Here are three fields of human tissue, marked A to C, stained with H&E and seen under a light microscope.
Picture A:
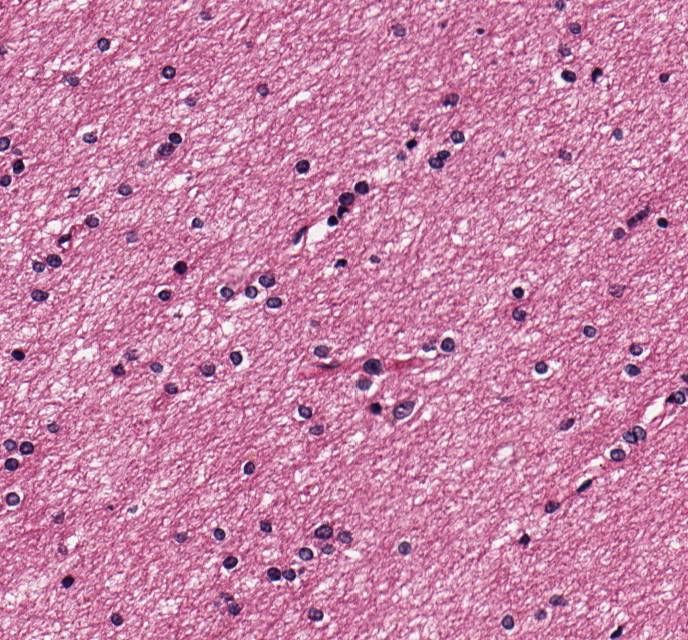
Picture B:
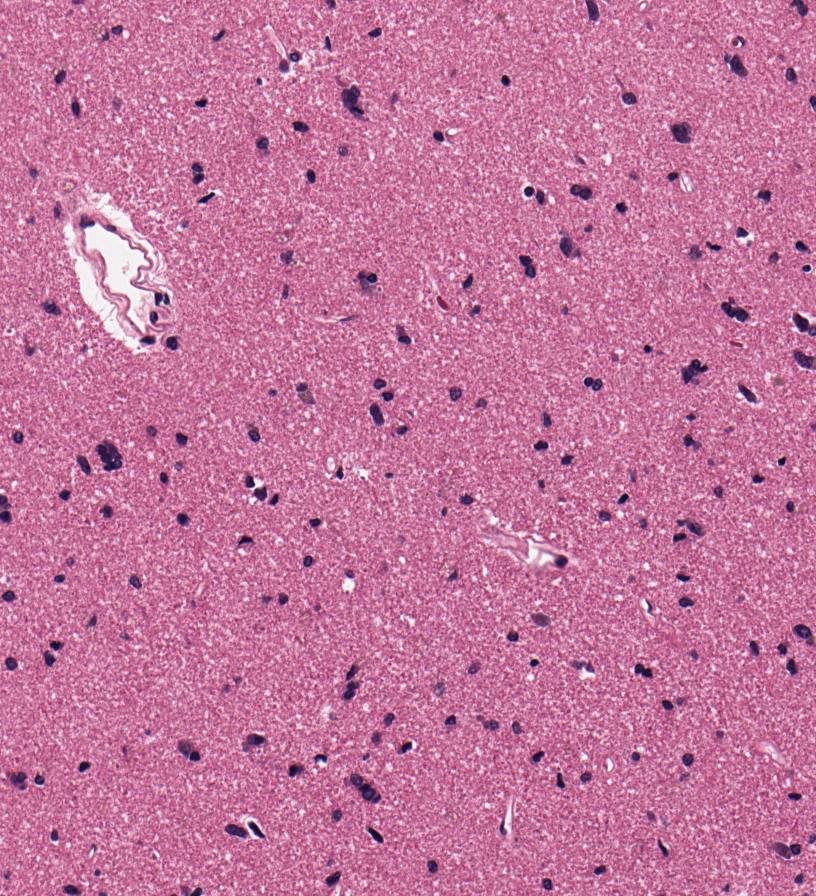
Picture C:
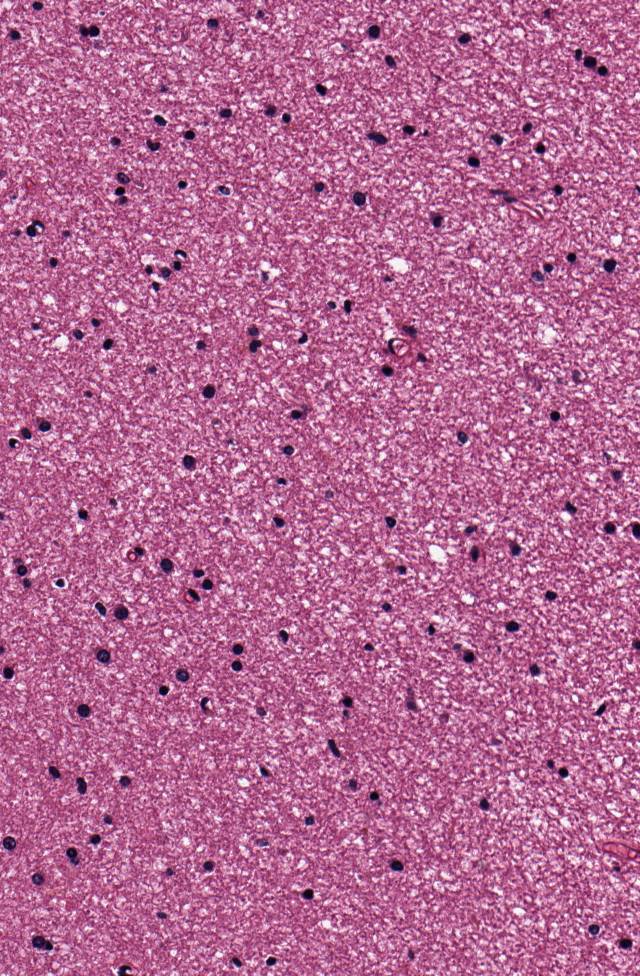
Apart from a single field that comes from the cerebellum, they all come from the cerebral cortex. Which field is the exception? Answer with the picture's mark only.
C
